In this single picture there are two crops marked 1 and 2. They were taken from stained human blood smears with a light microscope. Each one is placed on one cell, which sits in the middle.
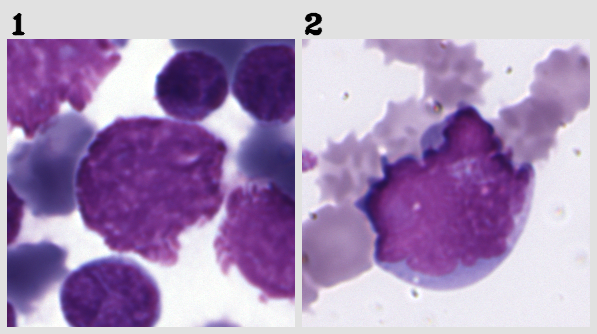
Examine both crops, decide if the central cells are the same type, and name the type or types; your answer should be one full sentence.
No, crop 1 contains a smudge cell; a myeloblast is what crop 2 contains.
